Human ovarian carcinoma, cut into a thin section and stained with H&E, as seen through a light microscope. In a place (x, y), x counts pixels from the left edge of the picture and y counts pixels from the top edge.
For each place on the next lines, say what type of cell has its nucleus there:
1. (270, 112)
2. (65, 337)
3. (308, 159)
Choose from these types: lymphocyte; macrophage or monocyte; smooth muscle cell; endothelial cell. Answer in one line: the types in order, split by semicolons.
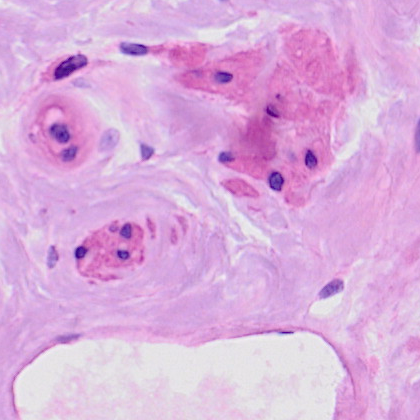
smooth muscle cell; endothelial cell; smooth muscle cell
